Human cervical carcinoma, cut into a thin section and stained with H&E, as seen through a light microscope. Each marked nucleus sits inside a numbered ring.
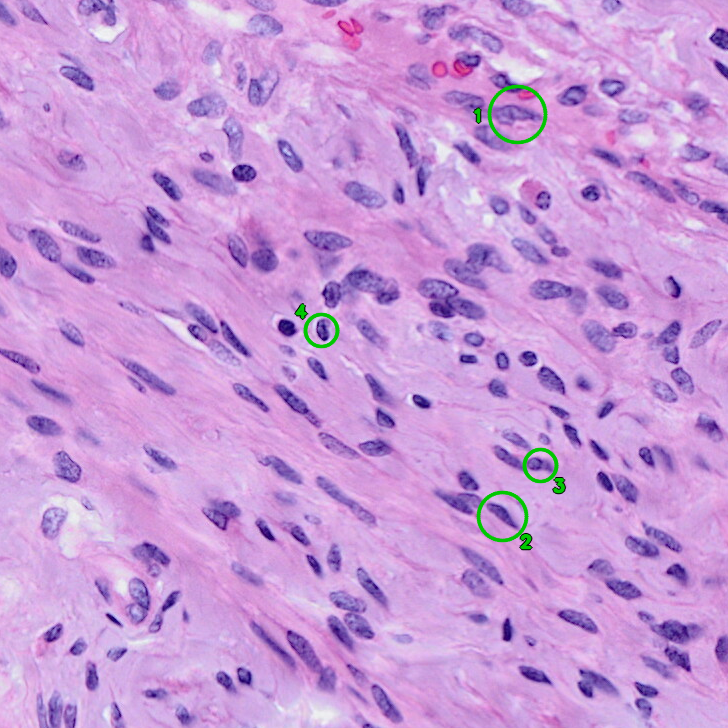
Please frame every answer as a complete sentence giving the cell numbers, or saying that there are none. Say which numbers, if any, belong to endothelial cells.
Only the cell with the number 1 is an endothelial cell.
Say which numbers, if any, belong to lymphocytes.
Only one choice fits: cell 4 is a lymphocyte, and no other.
